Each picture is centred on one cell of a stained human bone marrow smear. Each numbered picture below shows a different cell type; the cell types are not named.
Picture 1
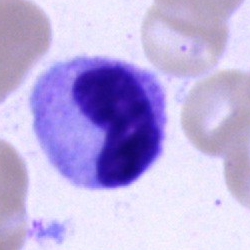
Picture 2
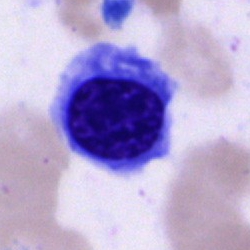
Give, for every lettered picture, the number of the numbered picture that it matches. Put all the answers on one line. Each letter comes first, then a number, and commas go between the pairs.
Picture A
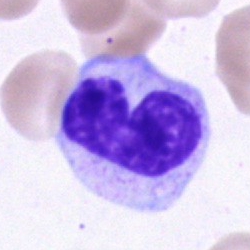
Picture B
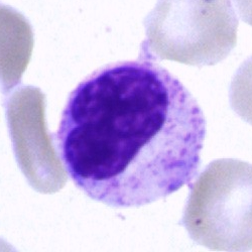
A 1, B 1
